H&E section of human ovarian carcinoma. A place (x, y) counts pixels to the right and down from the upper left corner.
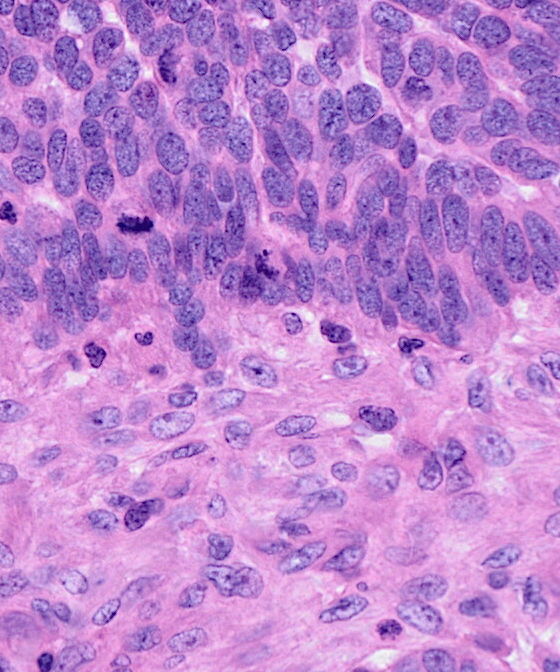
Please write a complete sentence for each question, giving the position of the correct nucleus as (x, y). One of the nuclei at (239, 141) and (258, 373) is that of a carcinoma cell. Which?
The one at (239, 141) is the nucleus belonging to a carcinoma cell, not the other one.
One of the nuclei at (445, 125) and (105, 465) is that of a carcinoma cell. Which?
Of the two nuclei, it is the one at (445, 125) that lies within a carcinoma cell.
